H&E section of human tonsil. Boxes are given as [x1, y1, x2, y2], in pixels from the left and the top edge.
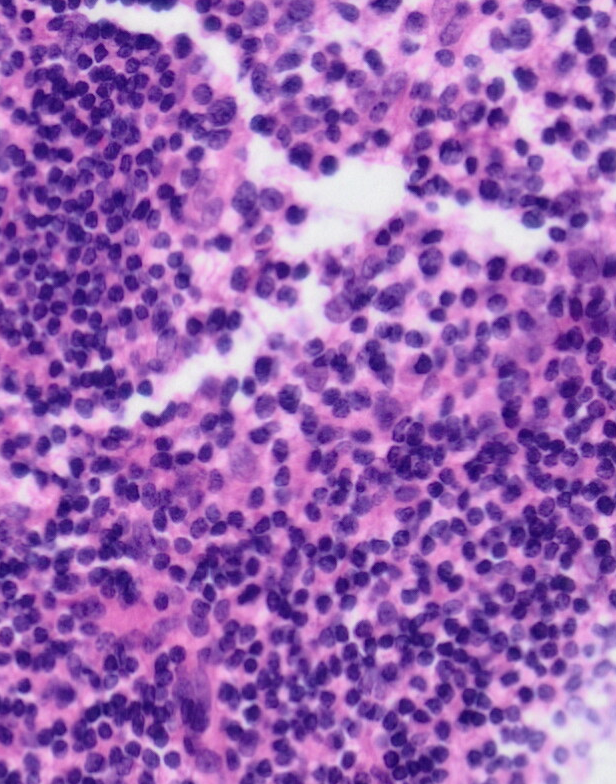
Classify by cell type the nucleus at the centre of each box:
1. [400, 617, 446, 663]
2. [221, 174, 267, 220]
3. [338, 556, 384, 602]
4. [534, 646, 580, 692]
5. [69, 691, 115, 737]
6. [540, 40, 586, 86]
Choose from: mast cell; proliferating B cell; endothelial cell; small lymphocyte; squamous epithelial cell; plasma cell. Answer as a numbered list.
1. small lymphocyte
2. proliferating B cell
3. small lymphocyte
4. small lymphocyte
5. small lymphocyte
6. proliferating B cell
